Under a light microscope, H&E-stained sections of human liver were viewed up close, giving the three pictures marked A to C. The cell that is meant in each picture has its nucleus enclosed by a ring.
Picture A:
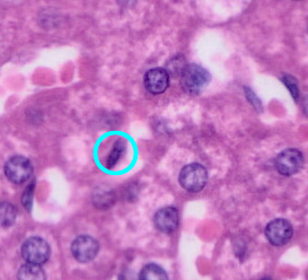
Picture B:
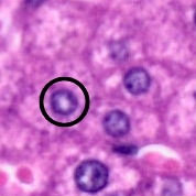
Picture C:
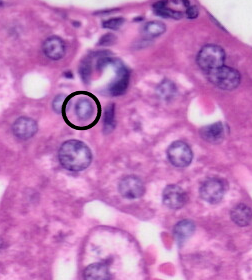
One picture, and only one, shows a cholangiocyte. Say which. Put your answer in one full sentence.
It is picture C that shows the cholangiocyte.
